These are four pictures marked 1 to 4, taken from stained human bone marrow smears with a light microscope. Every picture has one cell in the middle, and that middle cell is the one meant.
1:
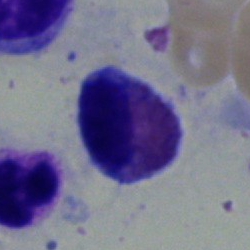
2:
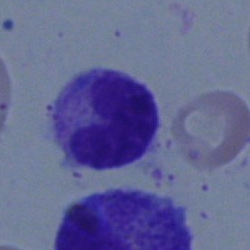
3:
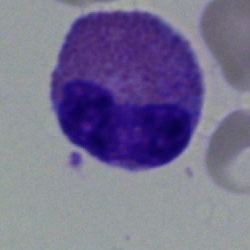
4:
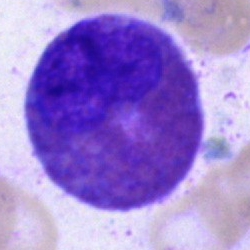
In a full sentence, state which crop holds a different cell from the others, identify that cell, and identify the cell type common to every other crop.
Just crop 2 is a band neutrophil; all the other crops show eosinophils.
